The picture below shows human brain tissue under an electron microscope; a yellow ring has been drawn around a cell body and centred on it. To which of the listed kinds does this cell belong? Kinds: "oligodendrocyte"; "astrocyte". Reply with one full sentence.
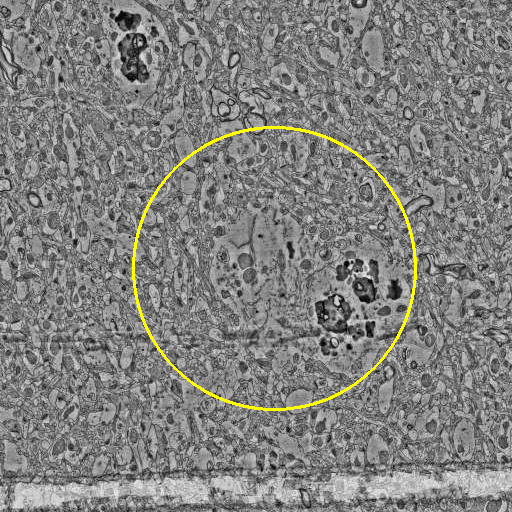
It is an astrocyte that the yellow ring in the picture is centred on.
